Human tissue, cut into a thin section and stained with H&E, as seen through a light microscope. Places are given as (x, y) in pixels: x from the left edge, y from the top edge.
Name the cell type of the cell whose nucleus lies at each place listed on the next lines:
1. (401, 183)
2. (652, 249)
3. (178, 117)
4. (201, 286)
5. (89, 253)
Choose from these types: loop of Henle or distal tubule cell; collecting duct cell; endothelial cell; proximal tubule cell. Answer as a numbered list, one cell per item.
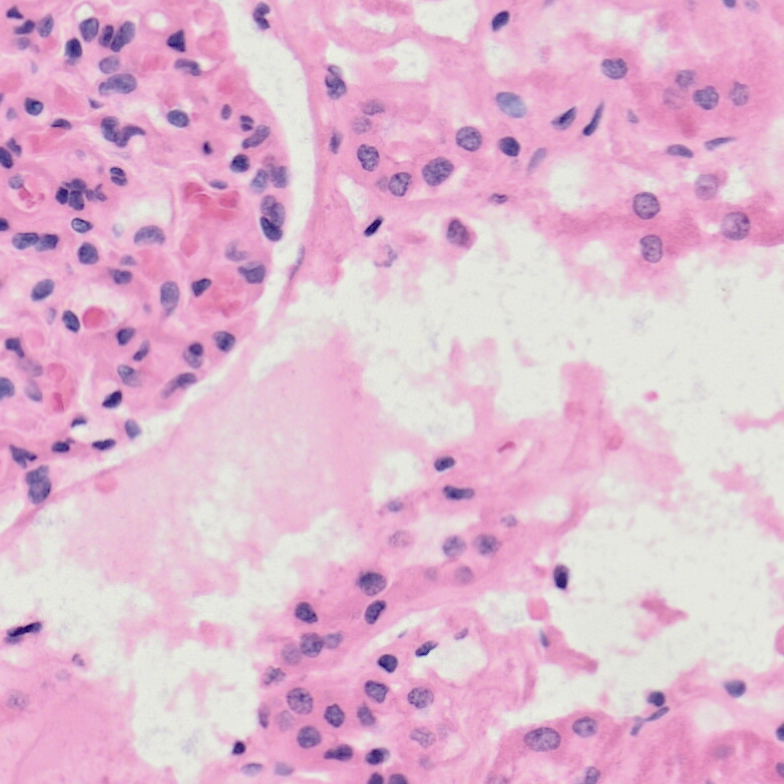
1. collecting duct cell
2. proximal tubule cell
3. endothelial cell
4. endothelial cell
5. endothelial cell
